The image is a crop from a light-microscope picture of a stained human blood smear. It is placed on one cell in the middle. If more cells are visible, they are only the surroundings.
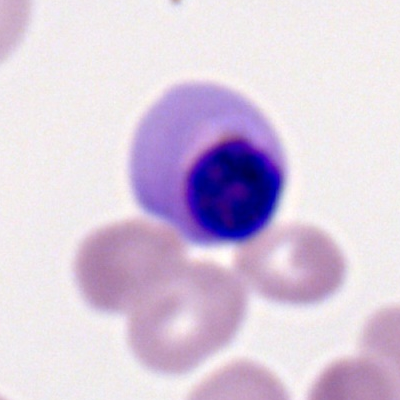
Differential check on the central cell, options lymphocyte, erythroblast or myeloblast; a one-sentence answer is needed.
What the crop centres on is an erythroblast.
